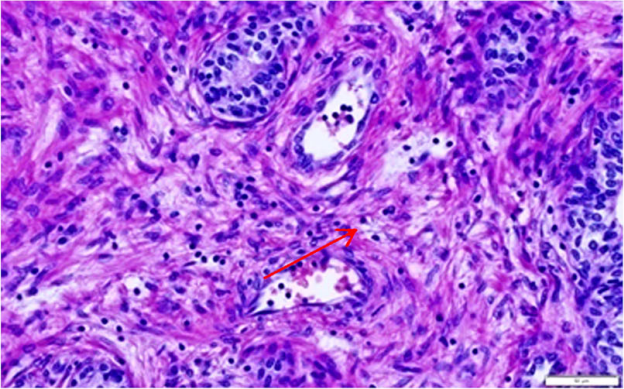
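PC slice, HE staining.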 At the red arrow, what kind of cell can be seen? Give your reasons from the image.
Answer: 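Small round cells with dark, scant-cytoplasm nuclei lie scattered in the pink stroma. The arrow points into the stroma between glands.
Hence: lymphocytes.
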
